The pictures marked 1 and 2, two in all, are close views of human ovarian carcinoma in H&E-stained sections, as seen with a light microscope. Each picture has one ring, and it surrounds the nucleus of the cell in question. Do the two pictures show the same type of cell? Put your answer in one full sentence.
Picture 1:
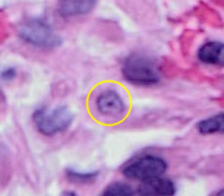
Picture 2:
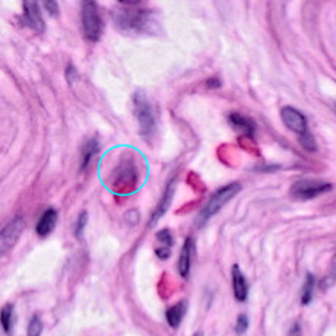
No; the cell in picture 1 is a “macrophage or monocyte”, while the one in picture 2 is an endothelial cell.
